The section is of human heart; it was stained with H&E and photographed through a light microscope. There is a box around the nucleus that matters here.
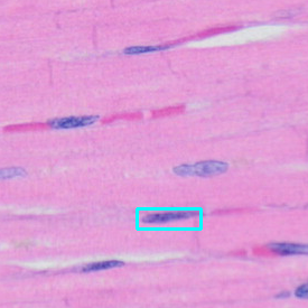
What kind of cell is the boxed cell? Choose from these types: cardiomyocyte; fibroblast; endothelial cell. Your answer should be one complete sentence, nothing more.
Recorded by type, the boxed cell is an endothelial cell.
